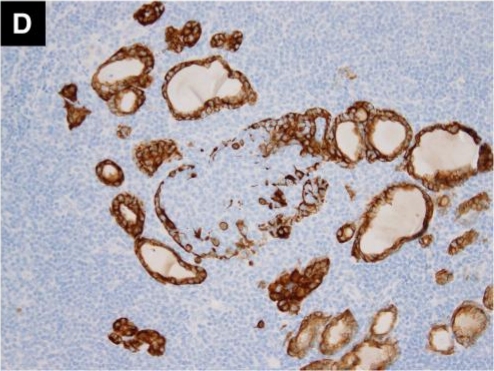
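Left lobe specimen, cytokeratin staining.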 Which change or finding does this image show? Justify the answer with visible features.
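Lymphoepithelial lesions. Brown-stained epithelium lines follicles set in a sheet of unstained small cells. At the centre a brown-lined follicle is broken up and filled with the small unstained cells.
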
